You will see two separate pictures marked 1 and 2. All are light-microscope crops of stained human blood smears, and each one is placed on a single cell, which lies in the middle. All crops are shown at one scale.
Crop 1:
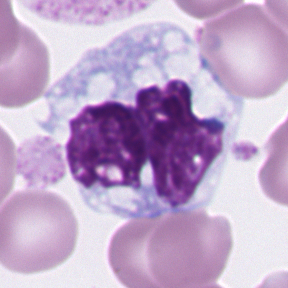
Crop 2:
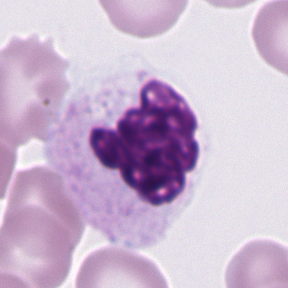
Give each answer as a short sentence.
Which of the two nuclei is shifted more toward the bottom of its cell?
In crop 1 the nucleus is shifted more toward the bottom.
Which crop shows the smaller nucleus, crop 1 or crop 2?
The nucleus in crop 2 is smaller; the one in crop 1 has about 1.5 times its area.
